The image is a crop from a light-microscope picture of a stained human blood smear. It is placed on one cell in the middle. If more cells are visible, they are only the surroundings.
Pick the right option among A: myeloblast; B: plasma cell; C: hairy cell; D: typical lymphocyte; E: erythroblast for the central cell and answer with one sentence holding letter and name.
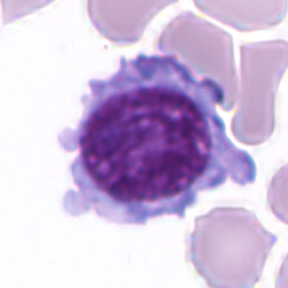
The middle of the crop holds a plasma cell, which points to option B.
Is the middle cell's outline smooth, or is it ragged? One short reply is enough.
The cell shows an uneven border, formed by ragged areas or by outward projections.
